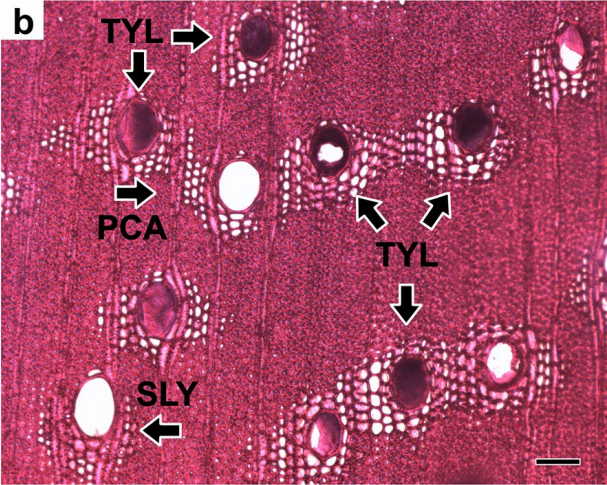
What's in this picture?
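This is a wood cross-section with vessels scattered in a dense red-stained ground of thick-walled fibres. Several vessels are filled with dark purple to brownish contents that obstruct the lumen, while others remain open and white. The vessels are surrounded by sheaths of pale, thin-walled parenchyma cells that extend sideways as wings, and some of these sheaths link neighbouring vessels. Fine rays run as thin parallel lines through the fibre tissue.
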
